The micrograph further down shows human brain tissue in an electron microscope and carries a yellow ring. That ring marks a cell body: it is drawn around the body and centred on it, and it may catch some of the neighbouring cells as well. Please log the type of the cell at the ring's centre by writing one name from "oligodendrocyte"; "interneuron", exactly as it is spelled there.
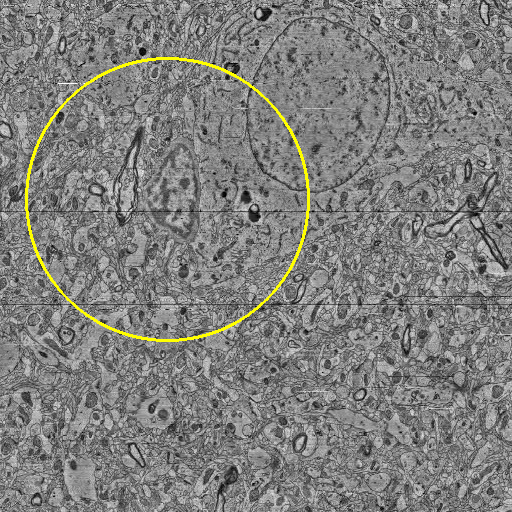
oligodendrocyte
